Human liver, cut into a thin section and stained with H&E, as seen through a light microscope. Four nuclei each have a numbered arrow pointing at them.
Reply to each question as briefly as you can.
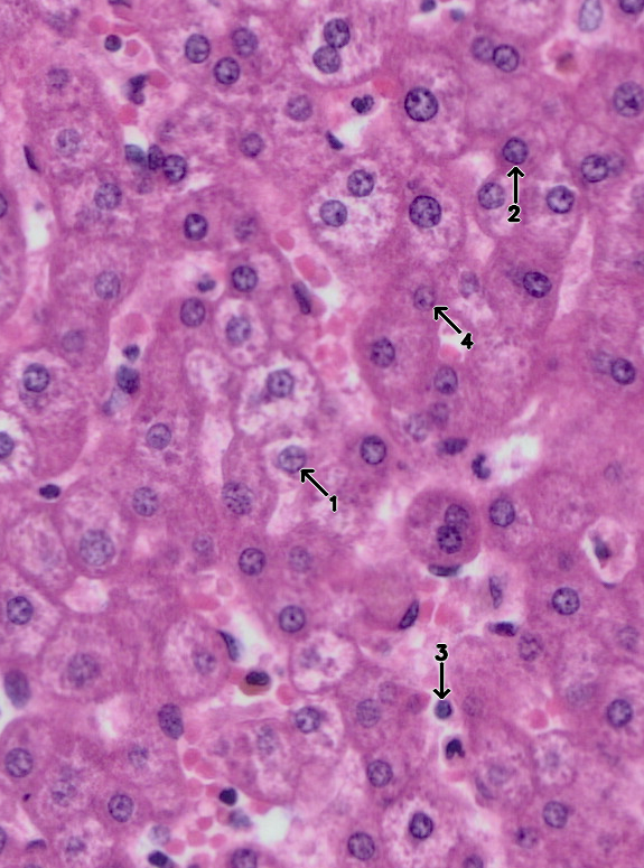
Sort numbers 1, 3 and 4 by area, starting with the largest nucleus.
1, 4, 3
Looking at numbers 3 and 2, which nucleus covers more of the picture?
2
